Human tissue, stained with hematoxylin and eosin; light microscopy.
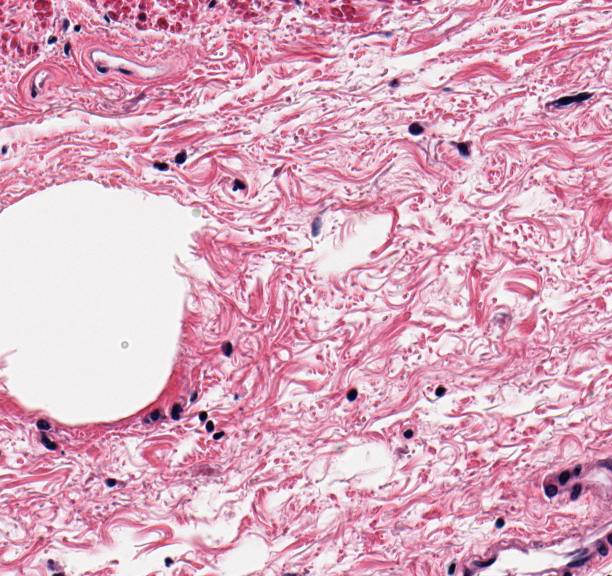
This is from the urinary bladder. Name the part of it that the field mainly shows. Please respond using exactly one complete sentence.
It is loose connective tissue that this tissue section depicts.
